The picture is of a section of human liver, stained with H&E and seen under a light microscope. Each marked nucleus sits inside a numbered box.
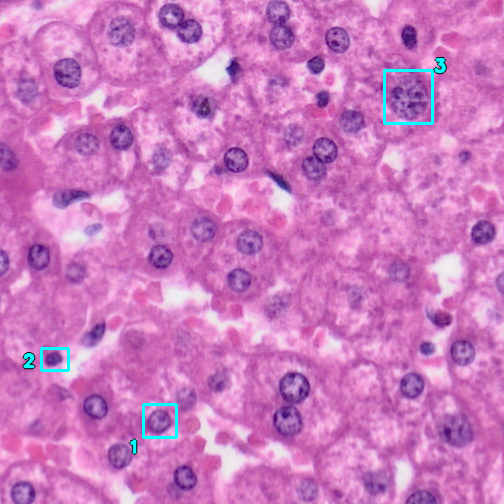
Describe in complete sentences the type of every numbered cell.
Cells 1 and 3 are hepatocytes. Cell 2 is a lymphocyte.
